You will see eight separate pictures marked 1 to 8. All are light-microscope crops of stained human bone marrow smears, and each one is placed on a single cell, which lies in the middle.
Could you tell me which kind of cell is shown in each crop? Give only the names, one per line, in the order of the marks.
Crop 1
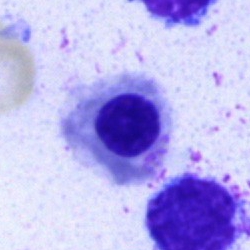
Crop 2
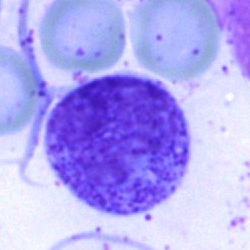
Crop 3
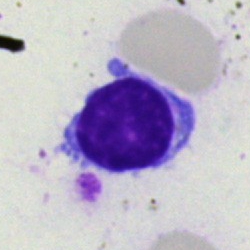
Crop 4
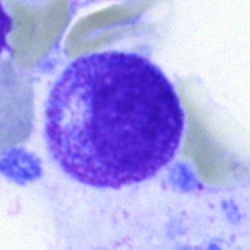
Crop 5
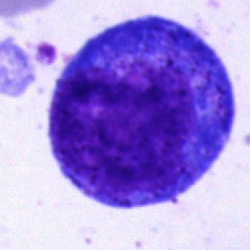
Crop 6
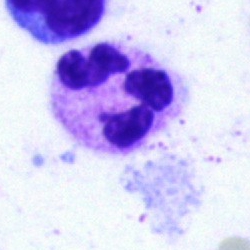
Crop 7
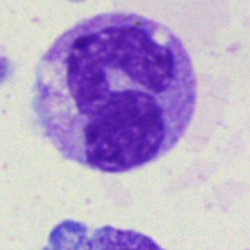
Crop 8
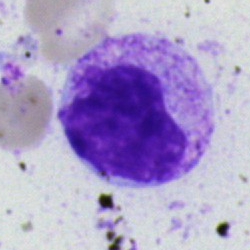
erythroblast
promyelocyte
lymphocyte
myelocyte
promyelocyte
segmented neutrophil
monocyte
metamyelocyte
